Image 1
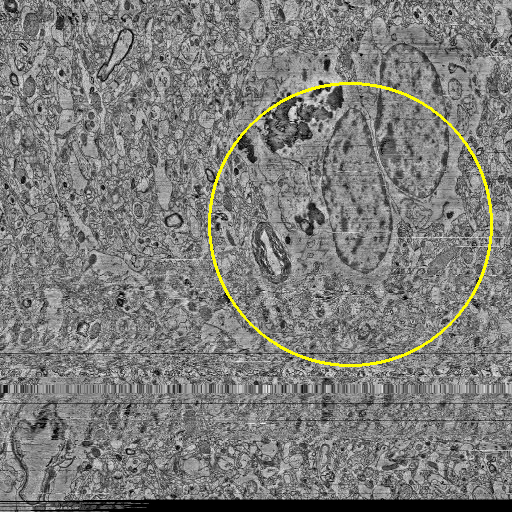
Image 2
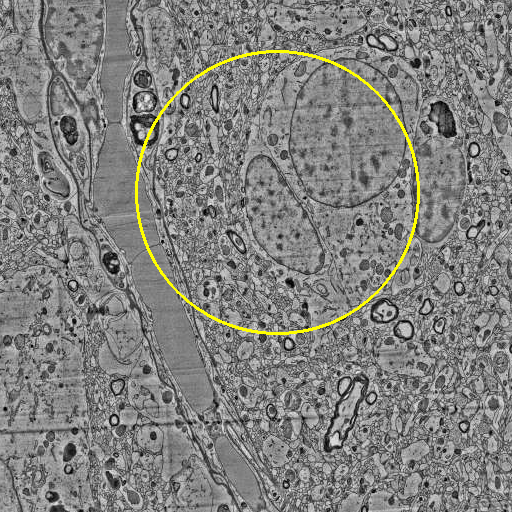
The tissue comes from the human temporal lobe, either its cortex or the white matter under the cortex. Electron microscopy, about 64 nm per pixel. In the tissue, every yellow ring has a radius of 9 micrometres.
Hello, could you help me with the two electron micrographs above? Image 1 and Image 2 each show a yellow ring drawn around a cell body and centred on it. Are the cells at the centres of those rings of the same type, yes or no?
no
